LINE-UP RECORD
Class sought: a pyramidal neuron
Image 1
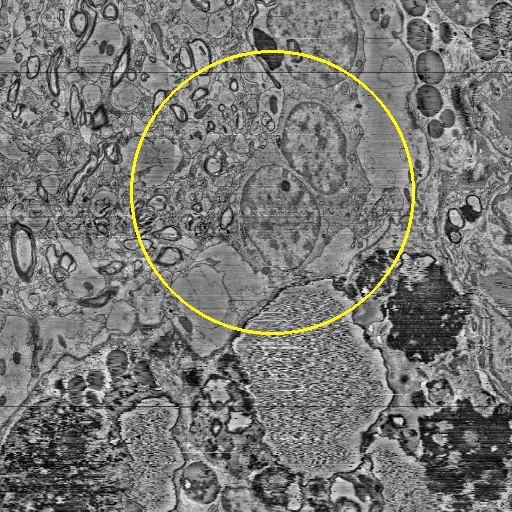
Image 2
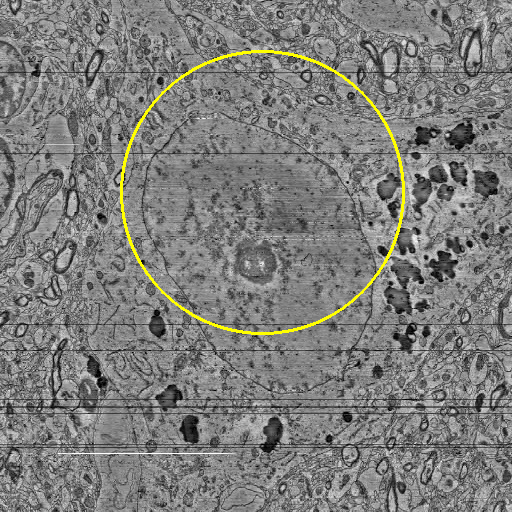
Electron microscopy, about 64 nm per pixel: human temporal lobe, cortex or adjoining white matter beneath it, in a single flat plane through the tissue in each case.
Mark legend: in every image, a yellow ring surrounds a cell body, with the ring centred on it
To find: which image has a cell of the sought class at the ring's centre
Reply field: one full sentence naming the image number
The ring-centred cell of image 2 belongs to the class sought.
